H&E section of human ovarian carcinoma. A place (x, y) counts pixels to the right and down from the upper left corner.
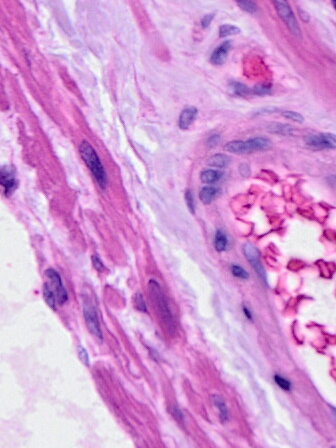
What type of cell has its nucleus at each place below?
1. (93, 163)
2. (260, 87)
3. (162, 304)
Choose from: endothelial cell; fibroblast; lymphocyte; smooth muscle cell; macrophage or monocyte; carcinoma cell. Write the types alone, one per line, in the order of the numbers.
smooth muscle cell
endothelial cell
smooth muscle cell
